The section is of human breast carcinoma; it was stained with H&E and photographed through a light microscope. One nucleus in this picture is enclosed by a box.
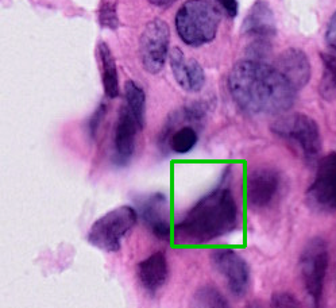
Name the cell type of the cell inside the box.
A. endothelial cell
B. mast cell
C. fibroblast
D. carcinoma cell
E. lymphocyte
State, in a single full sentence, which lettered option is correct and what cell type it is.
It is option D that is correct, the cell inside the box being a carcinoma cell.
